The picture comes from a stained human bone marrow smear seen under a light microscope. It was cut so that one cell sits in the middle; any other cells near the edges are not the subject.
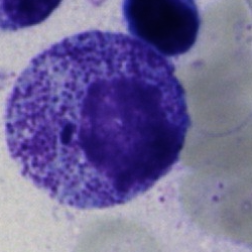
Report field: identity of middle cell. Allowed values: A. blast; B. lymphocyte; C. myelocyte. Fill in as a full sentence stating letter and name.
The cell at the heart of the crop is a myelocyte, so choose option C.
